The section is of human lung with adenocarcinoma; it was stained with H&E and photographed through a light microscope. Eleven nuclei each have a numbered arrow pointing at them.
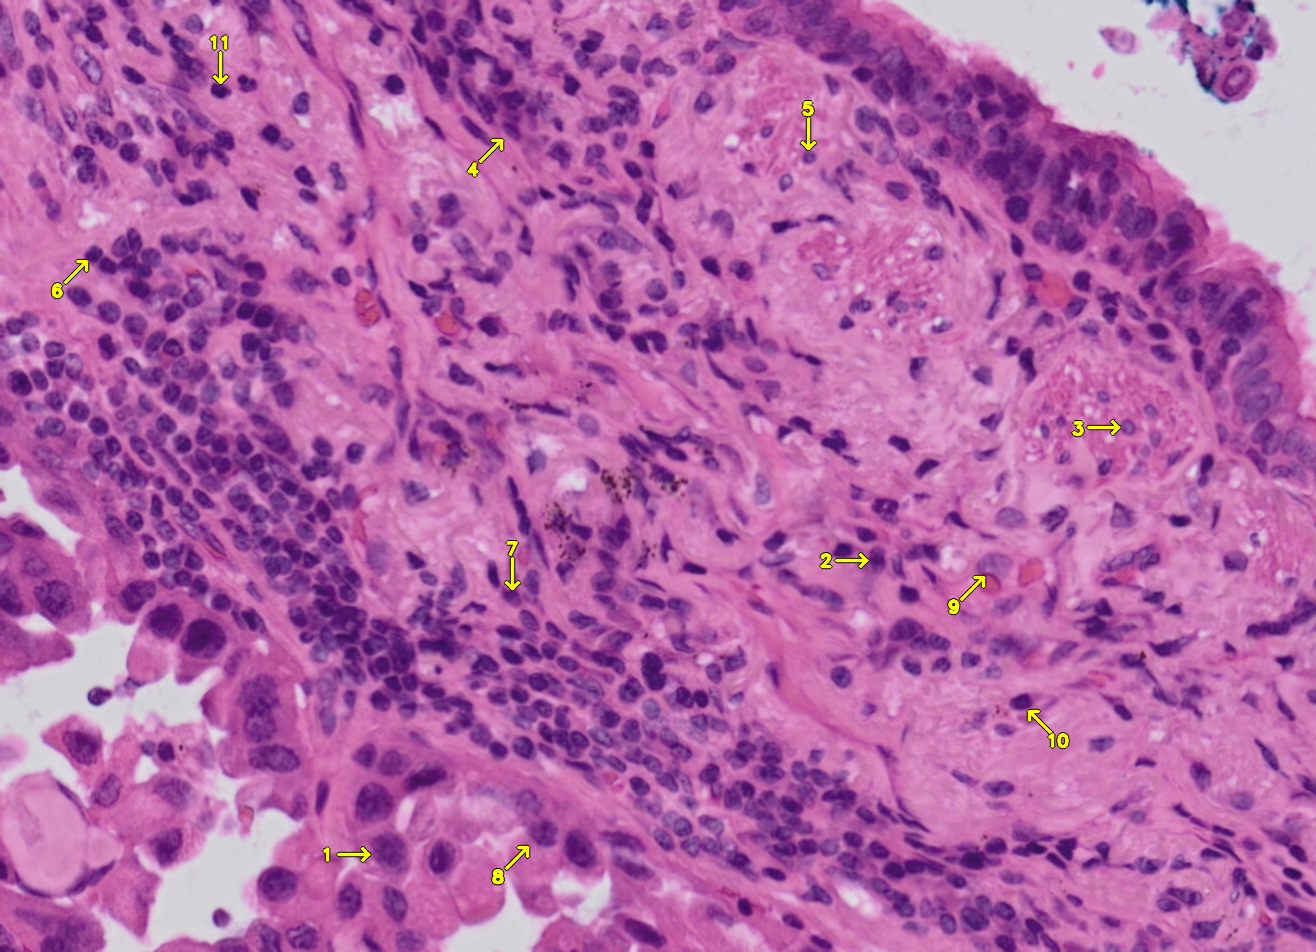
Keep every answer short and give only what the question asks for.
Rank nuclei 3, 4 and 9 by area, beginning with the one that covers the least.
3, 4, 9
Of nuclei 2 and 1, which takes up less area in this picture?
2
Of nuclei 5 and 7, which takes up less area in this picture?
5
